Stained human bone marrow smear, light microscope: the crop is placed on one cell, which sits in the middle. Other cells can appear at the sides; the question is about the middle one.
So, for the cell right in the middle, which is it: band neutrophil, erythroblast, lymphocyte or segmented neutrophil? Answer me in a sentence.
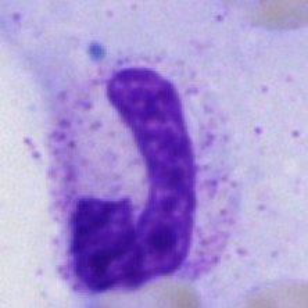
The cell of interest, in the center, is a band neutrophil.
